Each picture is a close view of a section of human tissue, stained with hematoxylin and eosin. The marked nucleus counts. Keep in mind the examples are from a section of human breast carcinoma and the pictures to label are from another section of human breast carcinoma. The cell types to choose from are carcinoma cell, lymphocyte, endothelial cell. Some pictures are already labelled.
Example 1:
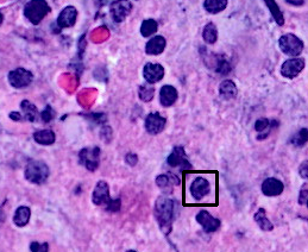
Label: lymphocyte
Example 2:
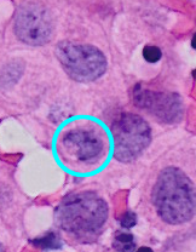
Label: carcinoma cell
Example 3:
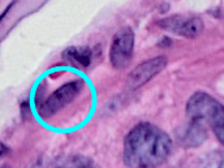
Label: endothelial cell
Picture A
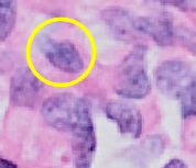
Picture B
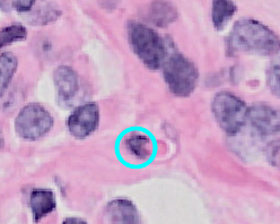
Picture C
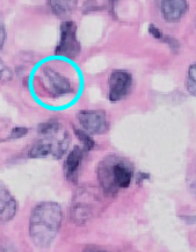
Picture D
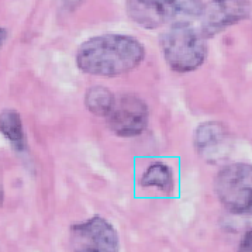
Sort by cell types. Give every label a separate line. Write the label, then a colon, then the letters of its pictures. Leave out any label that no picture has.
endothelial cell: A, B, C, D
